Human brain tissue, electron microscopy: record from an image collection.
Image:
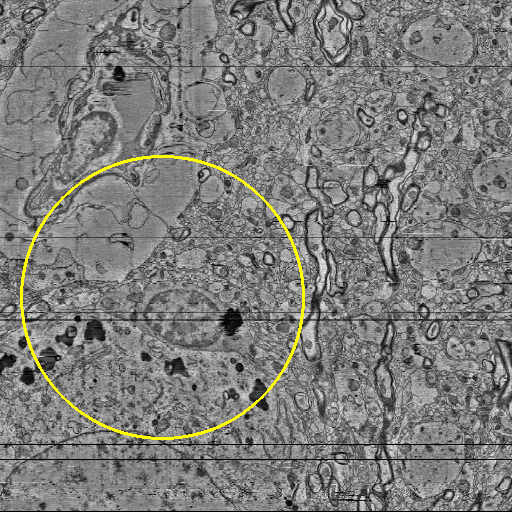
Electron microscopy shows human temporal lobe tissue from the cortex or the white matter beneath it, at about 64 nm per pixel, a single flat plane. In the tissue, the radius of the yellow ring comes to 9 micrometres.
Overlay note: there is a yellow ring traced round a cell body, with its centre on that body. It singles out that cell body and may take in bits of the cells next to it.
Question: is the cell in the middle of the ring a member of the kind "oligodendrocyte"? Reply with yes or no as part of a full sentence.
Yes, the image's ringed cell, the one at the ring's centre, is a member of that kind.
